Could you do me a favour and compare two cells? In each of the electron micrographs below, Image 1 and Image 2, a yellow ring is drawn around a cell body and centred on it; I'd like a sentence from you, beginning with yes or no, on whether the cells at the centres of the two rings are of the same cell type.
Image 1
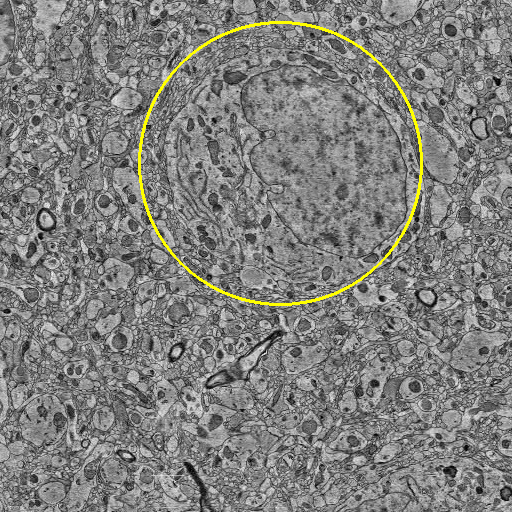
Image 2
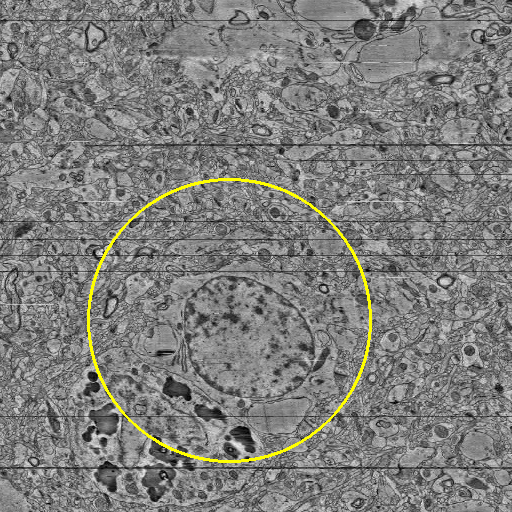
No, the two cells are of two cell types.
